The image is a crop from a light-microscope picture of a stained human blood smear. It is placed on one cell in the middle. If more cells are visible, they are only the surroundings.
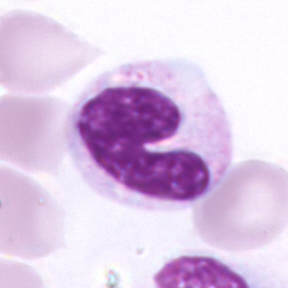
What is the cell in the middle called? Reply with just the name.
band neutrophil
